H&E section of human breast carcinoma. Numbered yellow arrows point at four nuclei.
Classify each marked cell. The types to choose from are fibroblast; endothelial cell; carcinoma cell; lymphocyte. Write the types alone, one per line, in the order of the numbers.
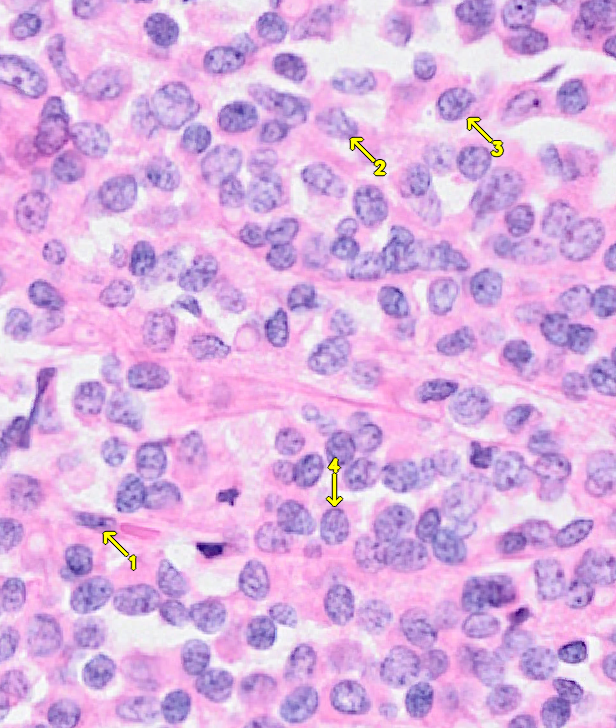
endothelial cell
carcinoma cell
carcinoma cell
carcinoma cell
